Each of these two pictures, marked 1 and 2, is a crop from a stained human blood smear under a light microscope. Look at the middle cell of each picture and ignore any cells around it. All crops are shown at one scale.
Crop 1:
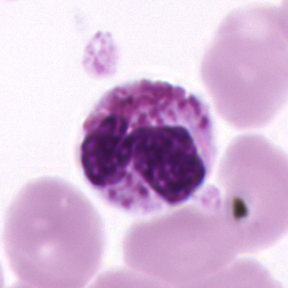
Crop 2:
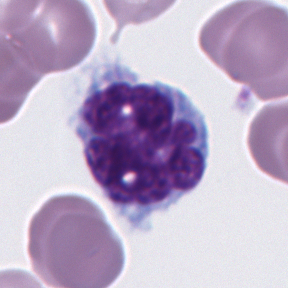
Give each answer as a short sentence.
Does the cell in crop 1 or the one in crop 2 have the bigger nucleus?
The nucleus in crop 2 is larger, with about 1.5 times the area of the one in crop 1.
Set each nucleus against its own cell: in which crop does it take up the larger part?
In crop 2 the nucleus takes up the larger part of its cell.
